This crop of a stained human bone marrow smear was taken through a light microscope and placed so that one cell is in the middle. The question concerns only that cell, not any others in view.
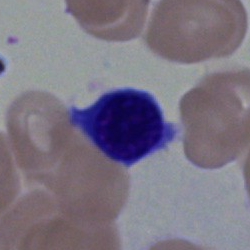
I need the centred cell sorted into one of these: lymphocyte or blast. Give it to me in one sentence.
Positioned in the middle of the crop is a lymphocyte.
